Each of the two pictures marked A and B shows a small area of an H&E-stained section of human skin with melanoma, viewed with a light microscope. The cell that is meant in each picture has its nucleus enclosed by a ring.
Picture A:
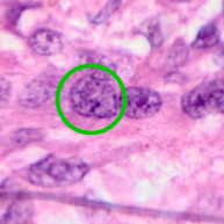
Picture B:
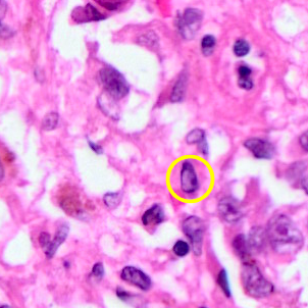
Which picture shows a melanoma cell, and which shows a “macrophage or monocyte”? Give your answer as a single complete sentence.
Picture A is of a melanoma cell, and picture B is of a “macrophage or monocyte”.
